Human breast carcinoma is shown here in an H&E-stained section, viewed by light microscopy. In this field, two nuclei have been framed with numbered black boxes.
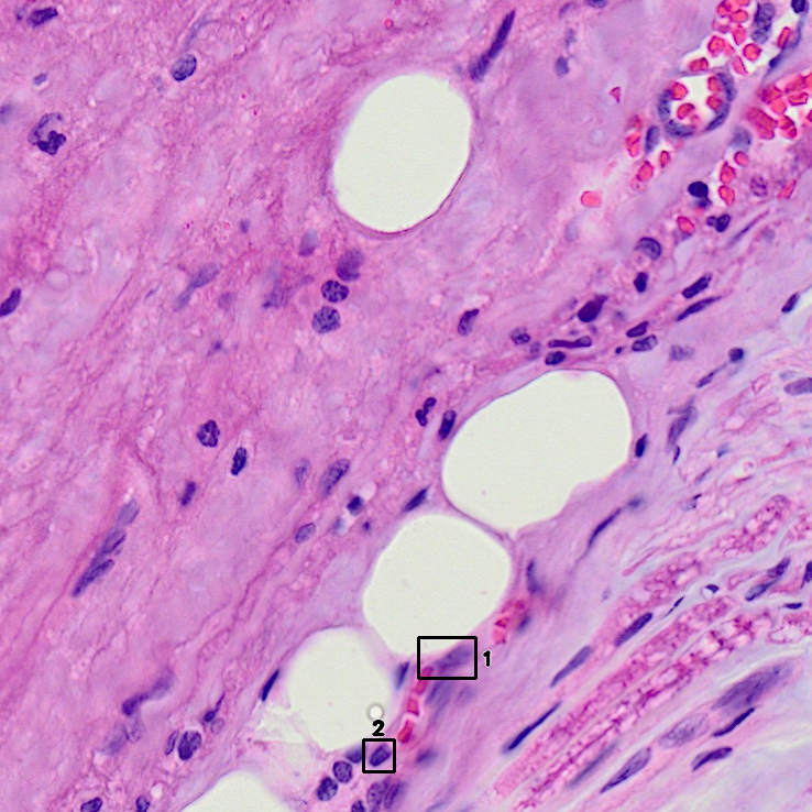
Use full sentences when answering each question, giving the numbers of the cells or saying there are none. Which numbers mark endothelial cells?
Of those with numbers, only cell 1 is an endothelial cell.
